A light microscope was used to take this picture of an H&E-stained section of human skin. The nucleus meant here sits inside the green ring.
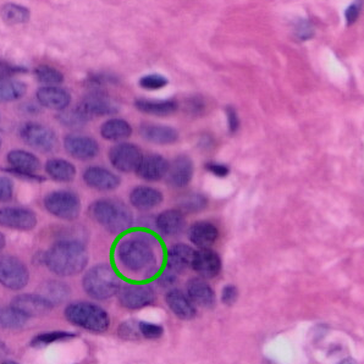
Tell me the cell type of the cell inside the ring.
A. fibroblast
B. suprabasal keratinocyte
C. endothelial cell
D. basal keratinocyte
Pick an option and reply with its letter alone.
D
